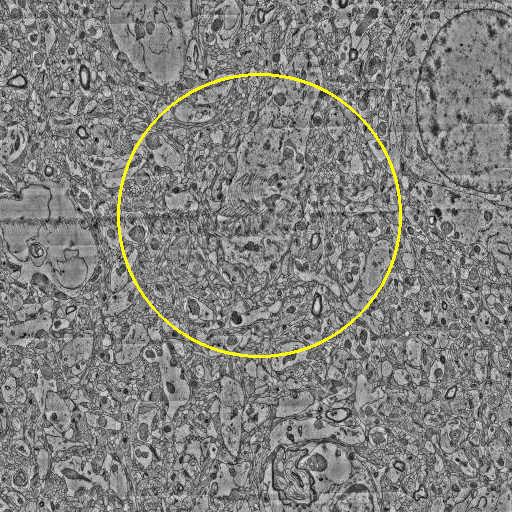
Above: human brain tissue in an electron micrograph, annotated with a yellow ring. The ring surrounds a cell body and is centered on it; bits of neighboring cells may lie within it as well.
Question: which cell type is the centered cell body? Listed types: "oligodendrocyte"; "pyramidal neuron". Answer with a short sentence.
The centered cell body is a pyramidal neuron.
